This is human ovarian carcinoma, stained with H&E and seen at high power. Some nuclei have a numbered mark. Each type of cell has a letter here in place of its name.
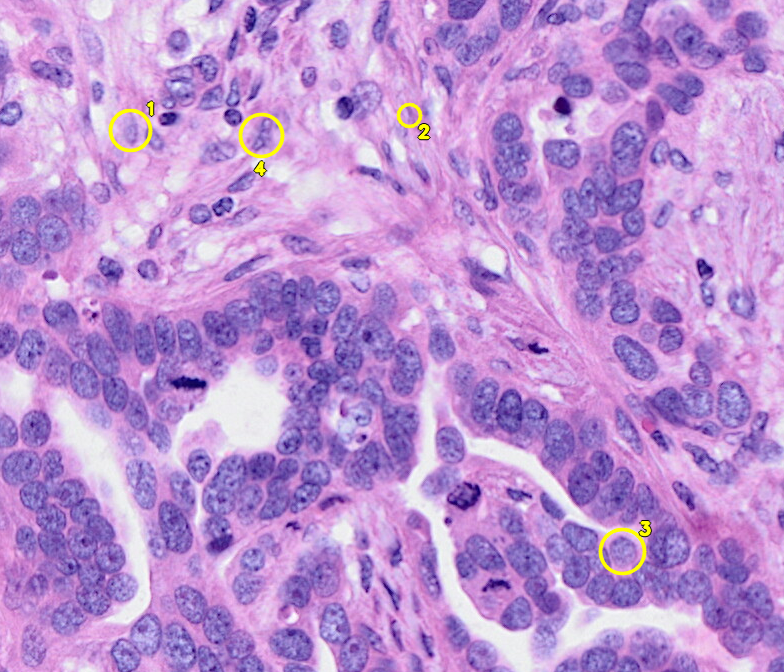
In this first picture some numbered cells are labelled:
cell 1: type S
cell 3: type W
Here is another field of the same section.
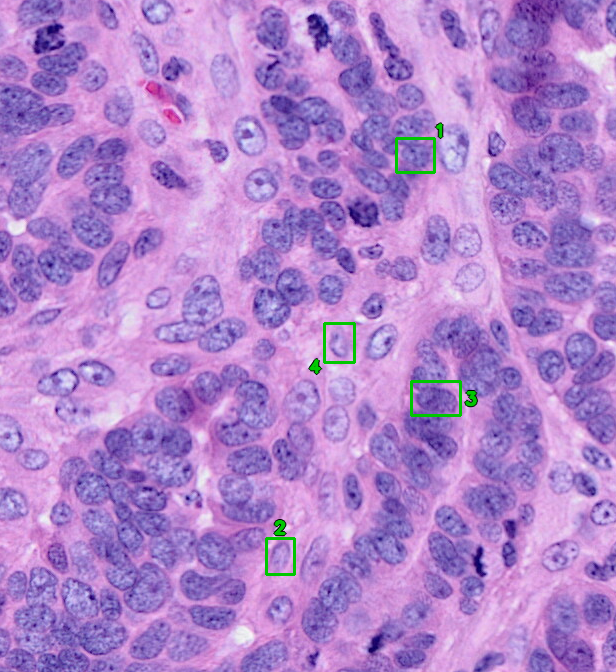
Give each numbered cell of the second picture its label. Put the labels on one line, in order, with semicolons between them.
type W; type S; type W; type S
